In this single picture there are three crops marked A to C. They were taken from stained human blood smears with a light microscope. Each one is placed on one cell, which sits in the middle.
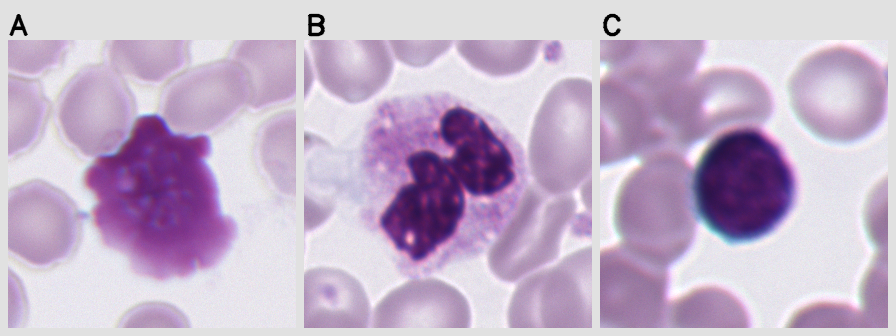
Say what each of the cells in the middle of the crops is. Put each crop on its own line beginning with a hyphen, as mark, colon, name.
- A: smudge cell
- B: segmented neutrophil
- C: typical lymphocyte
